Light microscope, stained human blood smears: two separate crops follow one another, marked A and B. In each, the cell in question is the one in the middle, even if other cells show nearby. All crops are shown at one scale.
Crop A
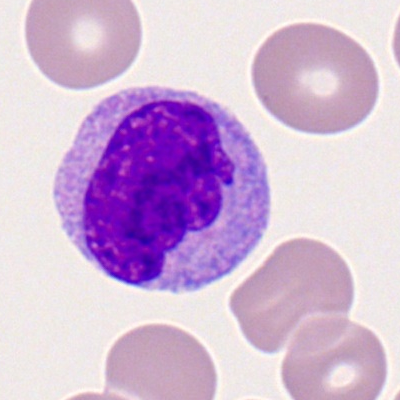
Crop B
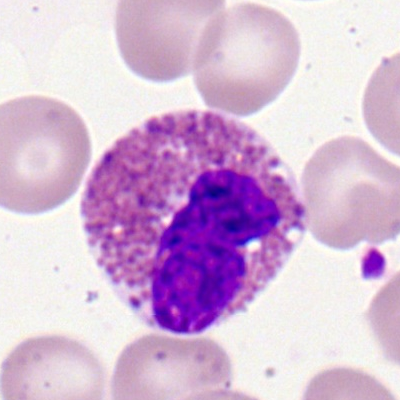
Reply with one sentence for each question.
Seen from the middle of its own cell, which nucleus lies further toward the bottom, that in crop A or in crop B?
It is the nucleus in crop B that lies further toward the bottom of its cell.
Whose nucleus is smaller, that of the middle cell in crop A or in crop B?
It is the nucleus in crop B; the one in crop A has about 1.5 times its area.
